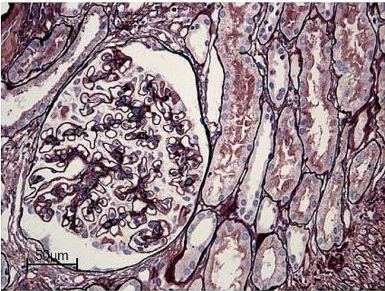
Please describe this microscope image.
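This section shows a glomerulus surrounded by renal tubules, stained so that basement membranes appear black. The glomerular capillary loops are outlined by thick black walls forming a lobulated tuft. The tuft lies within a clear space bounded by a black line of Bowman's capsule. Around it, tubules are each outlined by a thin black basement membrane and lined by cells with pink to brownish cytoplasm and blue-grey nuclei. The glomerular tuft carries scattered blue-grey nuclei between the black loops.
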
